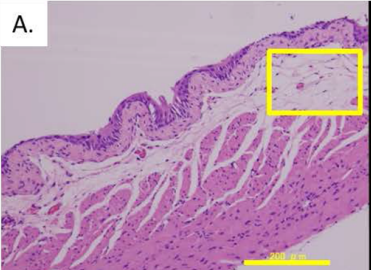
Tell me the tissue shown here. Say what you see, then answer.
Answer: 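A multilayered surface epithelium lines a folded luminal surface. Pale loose connective tissue lies beneath the epithelium. Thick pink smooth muscle bundles form the lower part of the wall. The answer: bladder.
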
